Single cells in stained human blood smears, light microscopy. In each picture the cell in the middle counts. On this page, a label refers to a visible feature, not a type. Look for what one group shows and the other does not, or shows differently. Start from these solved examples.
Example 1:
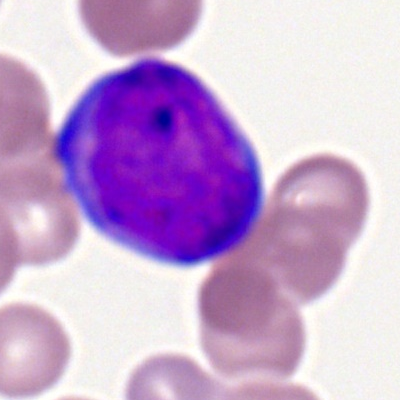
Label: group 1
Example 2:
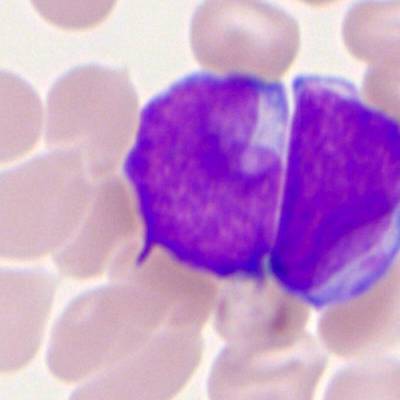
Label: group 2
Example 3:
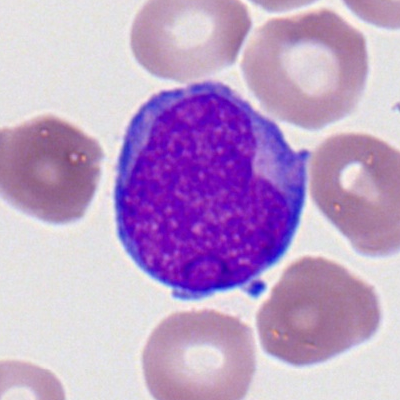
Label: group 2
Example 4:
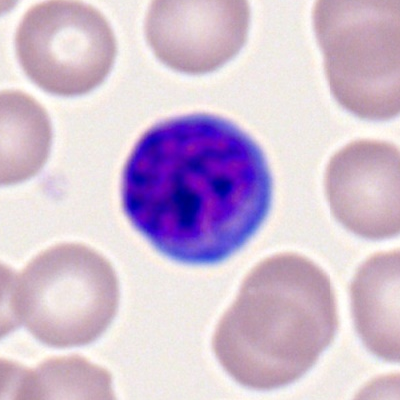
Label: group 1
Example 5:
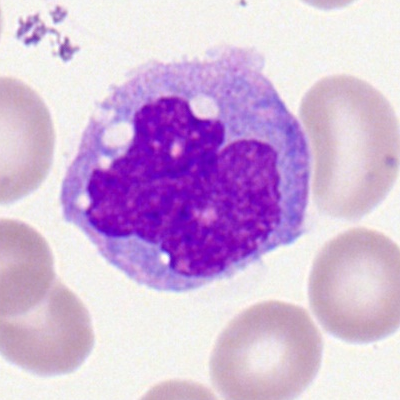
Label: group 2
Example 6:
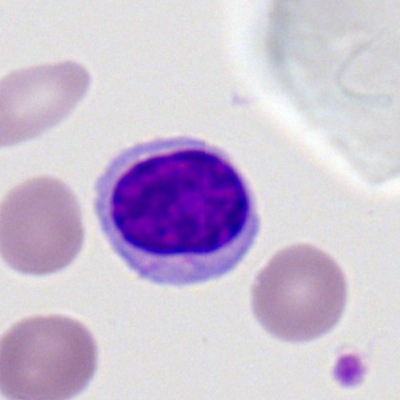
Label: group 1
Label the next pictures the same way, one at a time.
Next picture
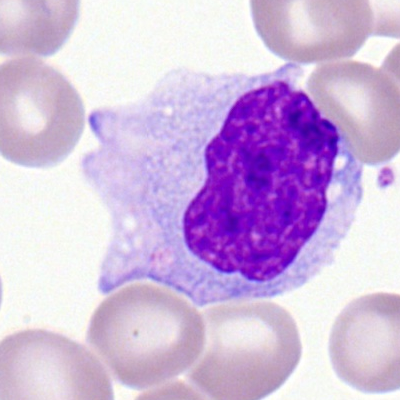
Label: group 2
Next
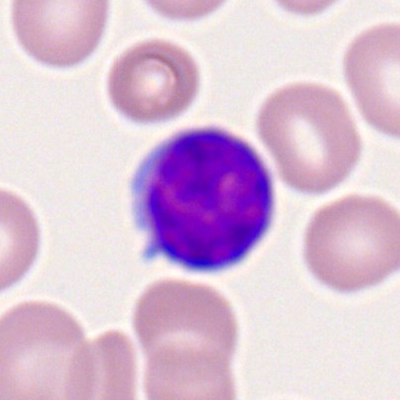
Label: group 2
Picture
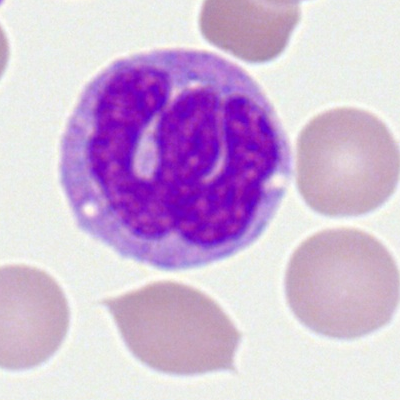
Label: group 1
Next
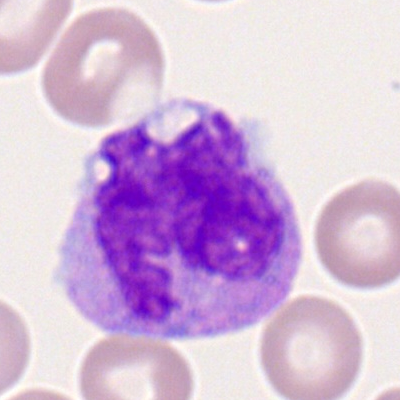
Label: group 2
